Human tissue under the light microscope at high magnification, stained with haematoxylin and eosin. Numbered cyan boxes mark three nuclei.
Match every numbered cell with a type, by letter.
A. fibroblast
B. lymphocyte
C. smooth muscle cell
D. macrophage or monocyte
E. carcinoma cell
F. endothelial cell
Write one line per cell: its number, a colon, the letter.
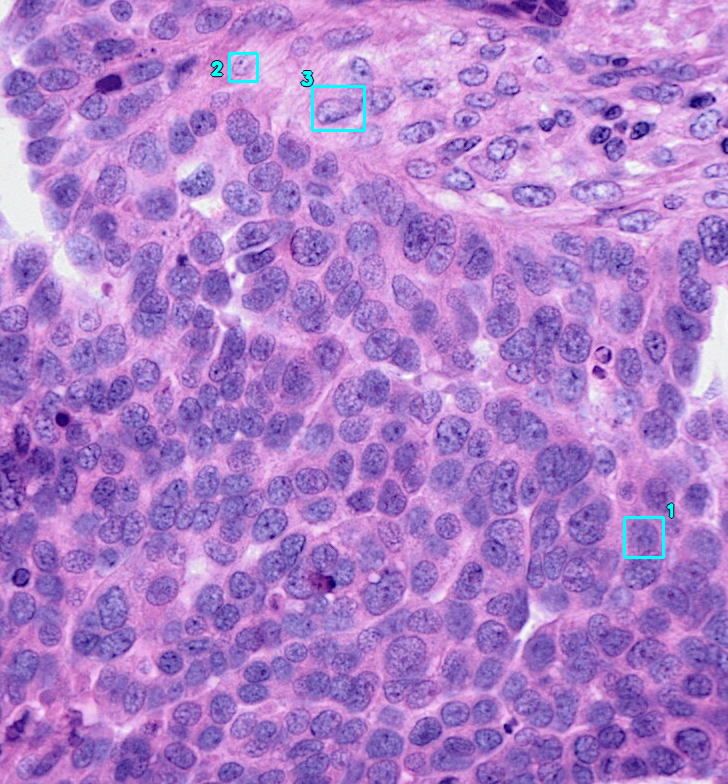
1: E
2: A
3: A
